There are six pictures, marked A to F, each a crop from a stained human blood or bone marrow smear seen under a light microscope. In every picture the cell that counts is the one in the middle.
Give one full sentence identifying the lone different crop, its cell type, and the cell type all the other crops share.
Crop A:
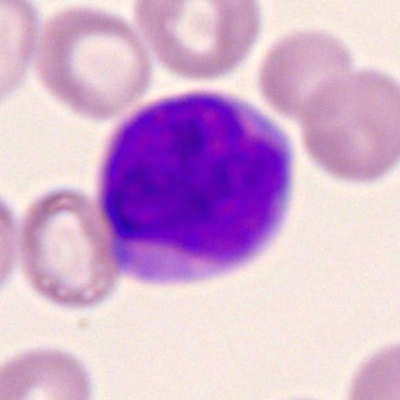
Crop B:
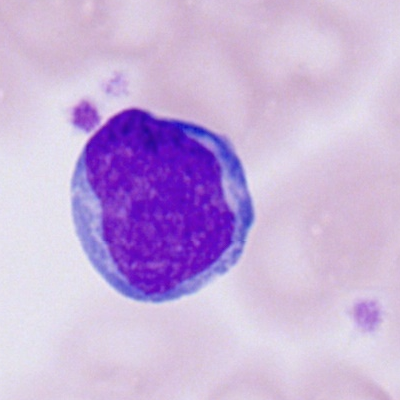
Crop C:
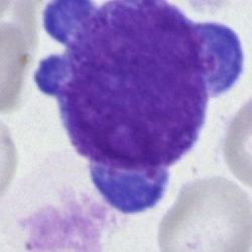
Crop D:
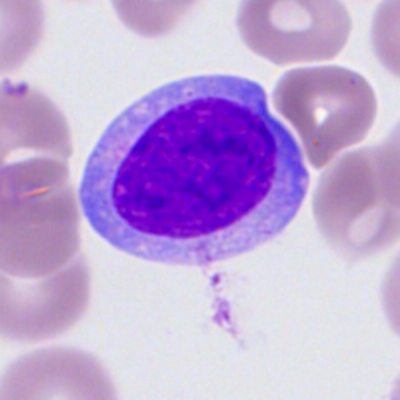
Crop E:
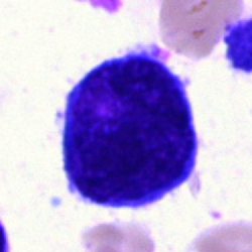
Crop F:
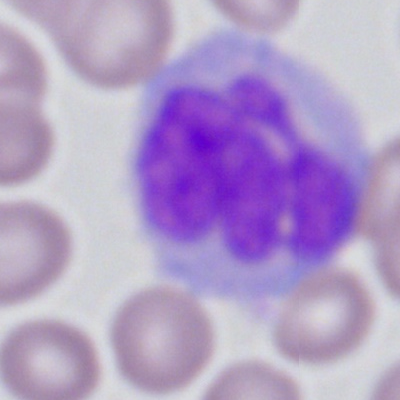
The different crop is crop F, a monocyte; all the others show blasts.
